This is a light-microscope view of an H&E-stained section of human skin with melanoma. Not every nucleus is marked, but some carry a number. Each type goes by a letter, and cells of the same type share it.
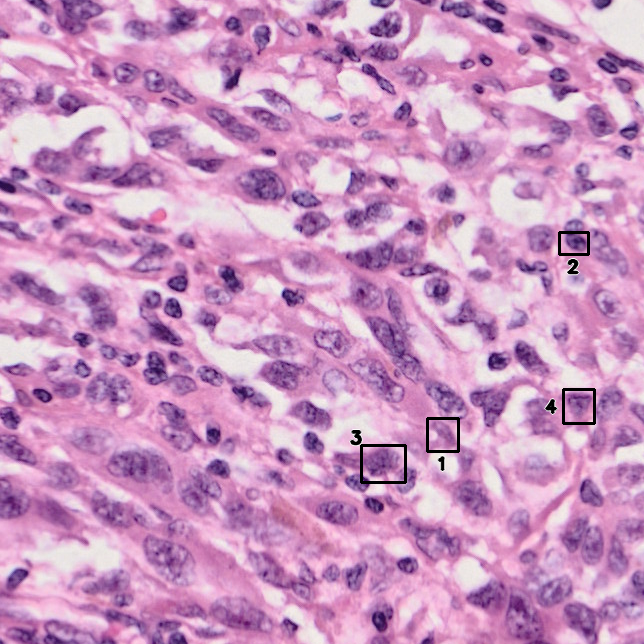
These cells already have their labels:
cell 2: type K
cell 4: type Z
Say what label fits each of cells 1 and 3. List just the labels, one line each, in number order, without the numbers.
type Z
type Z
